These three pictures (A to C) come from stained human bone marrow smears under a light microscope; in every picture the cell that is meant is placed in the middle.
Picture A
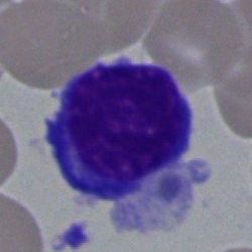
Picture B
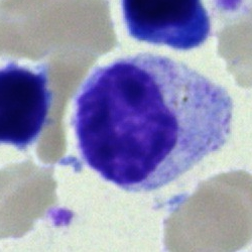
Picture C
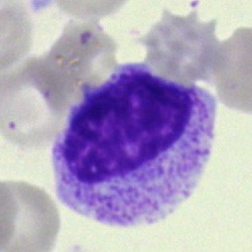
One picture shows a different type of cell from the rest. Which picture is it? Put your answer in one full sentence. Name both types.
The others show myelocytes, but picture A shows a plasma cell.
